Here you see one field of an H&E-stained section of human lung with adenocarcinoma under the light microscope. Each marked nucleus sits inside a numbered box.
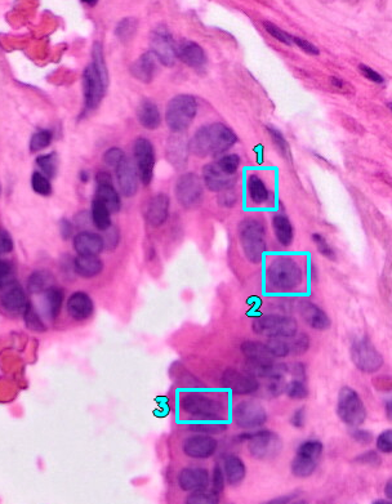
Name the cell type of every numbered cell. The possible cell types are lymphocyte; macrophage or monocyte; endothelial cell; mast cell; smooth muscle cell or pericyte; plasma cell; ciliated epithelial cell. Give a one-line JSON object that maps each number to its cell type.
{"1": "lymphocyte", "2": "ciliated epithelial cell", "3": "ciliated epithelial cell"}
